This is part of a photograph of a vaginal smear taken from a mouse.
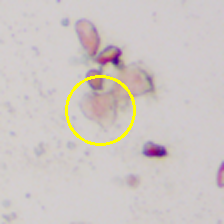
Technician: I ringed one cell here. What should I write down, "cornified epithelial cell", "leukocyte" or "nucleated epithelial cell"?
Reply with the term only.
cornified epithelial cell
